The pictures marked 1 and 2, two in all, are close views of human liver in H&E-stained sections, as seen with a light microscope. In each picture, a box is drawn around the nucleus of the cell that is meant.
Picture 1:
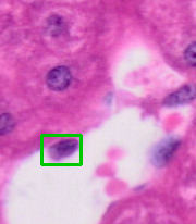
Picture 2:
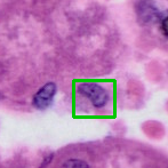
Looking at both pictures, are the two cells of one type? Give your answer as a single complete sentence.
Yes, the two pictures both show Kupffer cells.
